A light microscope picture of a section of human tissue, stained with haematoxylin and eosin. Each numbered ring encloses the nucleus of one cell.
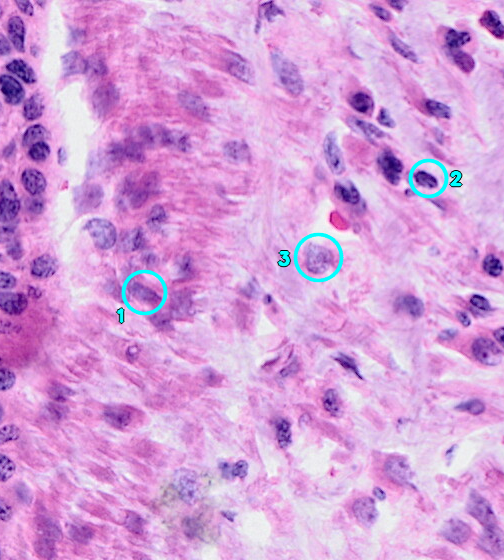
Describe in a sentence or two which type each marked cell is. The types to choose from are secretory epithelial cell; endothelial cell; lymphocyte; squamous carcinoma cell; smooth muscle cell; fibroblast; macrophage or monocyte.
Cell 1 is a fibroblast, cell 2 is a lymphocyte and cell 3 is an endothelial cell.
